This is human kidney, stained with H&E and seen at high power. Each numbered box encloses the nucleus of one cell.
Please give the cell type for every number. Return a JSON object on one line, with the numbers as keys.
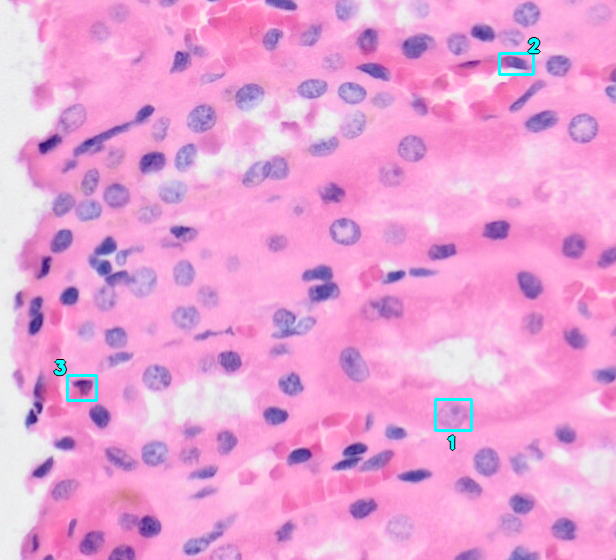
{"1": "proximal tubule cell", "2": "endothelial cell", "3": "endothelial cell"}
